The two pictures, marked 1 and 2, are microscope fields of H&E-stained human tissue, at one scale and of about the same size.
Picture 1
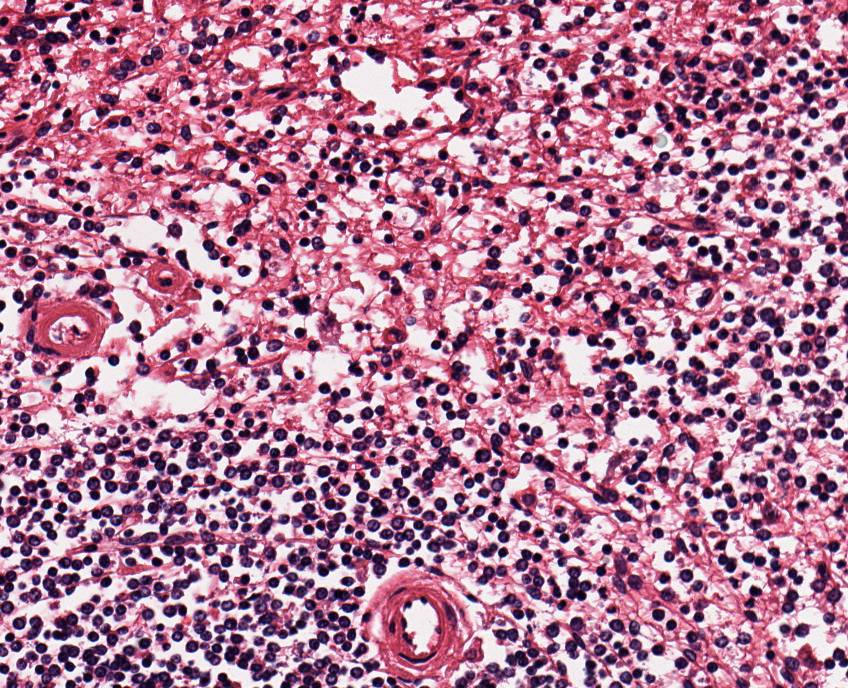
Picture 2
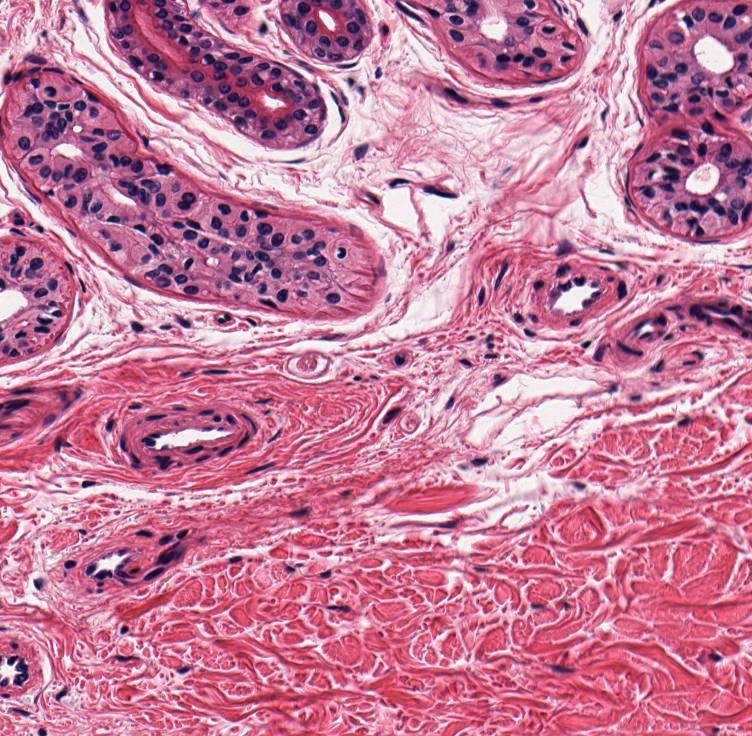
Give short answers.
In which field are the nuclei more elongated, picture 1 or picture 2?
2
